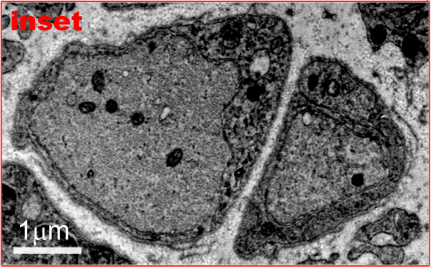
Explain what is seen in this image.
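Transmission electron micrograph of peripheral nerve showing two large axons, each surrounded one-to-one by a Schwann cell. The axoplasm is finely granular with scattered mitochondria, and pale extracellular matrix lies between the fibres.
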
